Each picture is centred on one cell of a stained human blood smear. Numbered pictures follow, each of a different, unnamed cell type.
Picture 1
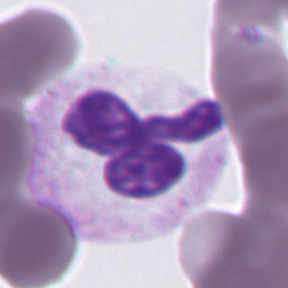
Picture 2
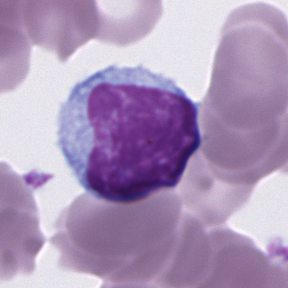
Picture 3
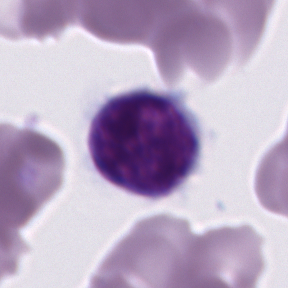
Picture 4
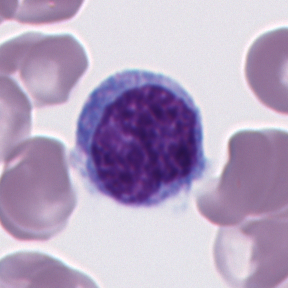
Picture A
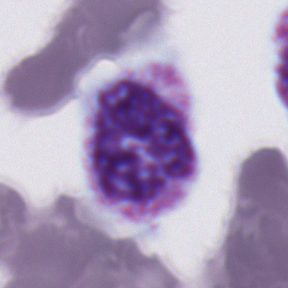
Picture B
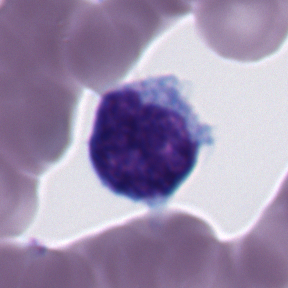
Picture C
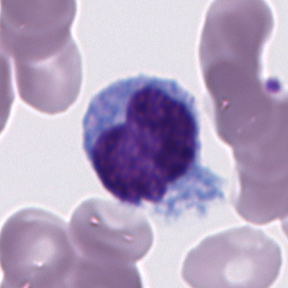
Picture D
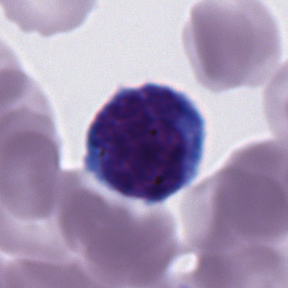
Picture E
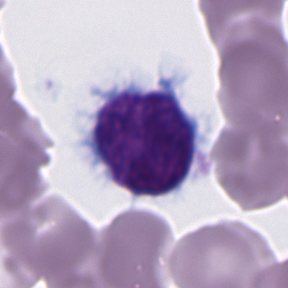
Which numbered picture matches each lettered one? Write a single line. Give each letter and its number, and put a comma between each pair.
A 1, B 2, C 4, D 2, E 3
